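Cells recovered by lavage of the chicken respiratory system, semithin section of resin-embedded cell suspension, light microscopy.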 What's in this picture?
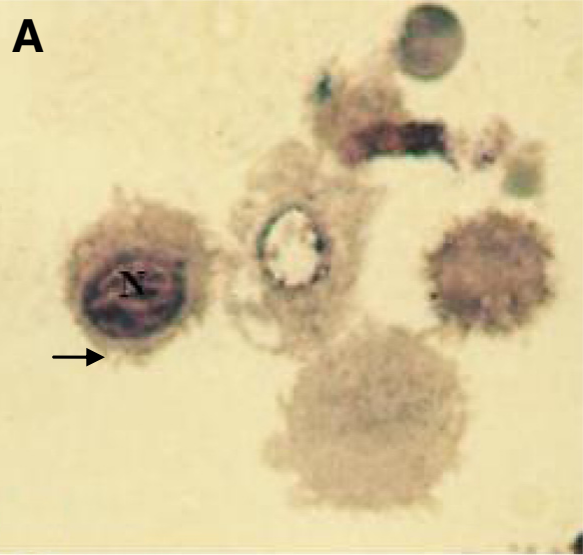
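The cell on the left has a dark purple nucleus set off to one side within a paler, granular cytoplasm. Its border is fringed all around with short, fine spiky projections, and a similar round spiky-edged cell lies to the right.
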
